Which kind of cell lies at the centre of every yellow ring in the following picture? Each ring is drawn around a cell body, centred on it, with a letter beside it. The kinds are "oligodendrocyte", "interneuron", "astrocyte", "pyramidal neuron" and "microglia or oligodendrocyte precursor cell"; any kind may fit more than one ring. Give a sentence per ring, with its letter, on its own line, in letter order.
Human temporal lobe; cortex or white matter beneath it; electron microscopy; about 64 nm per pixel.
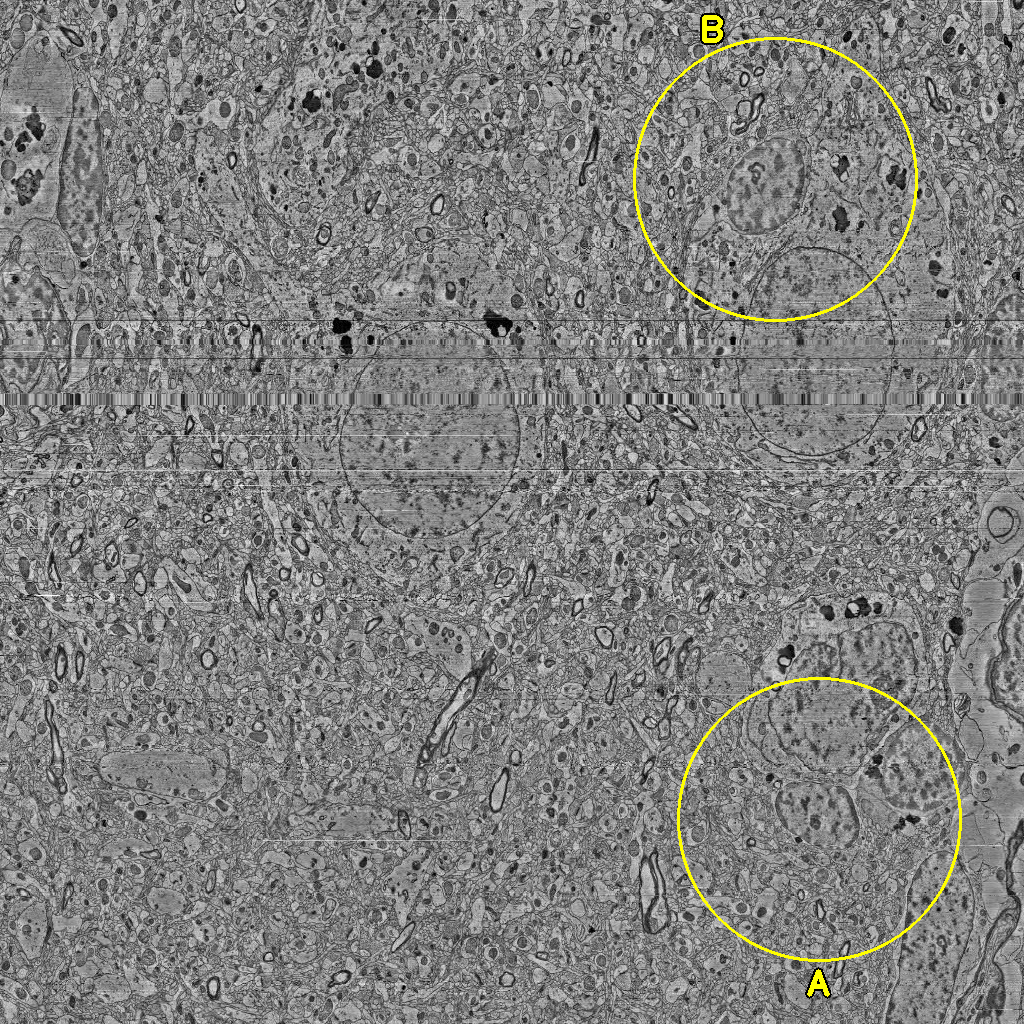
The cell body centred in ring A is that of a microglial cell or oligodendrocyte precursor cell.
The cell body centred in ring B is that of an oligodendrocyte.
